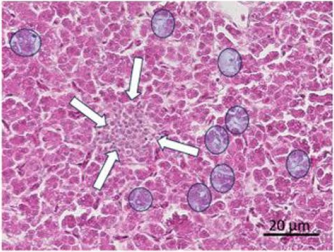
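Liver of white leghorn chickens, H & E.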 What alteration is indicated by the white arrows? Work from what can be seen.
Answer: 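Immune cell infiltration. The arrows converge on a focal cluster of small, densely packed round cells. The cells of the cluster have dark nuclei and little cytoplasm, unlike the surrounding polygonal liver cells.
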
